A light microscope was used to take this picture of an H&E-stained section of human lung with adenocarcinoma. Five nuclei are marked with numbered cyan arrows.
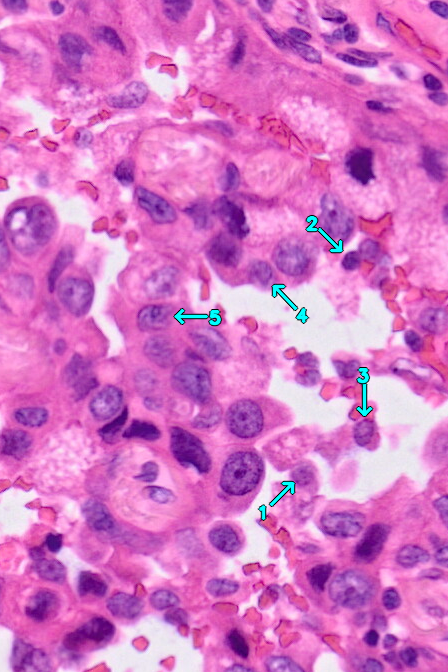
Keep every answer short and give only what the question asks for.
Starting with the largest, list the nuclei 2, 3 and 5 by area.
5, 3, 2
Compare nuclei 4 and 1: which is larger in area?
4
